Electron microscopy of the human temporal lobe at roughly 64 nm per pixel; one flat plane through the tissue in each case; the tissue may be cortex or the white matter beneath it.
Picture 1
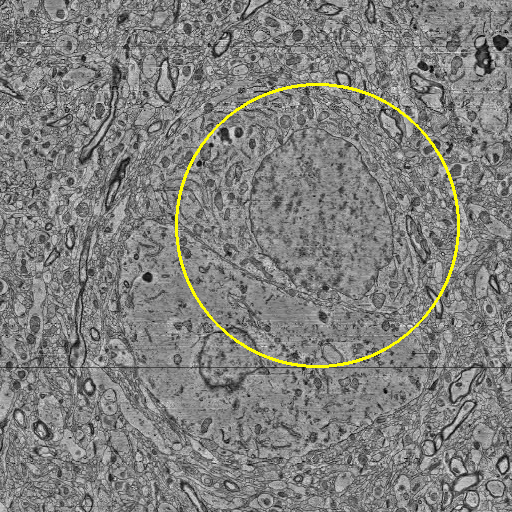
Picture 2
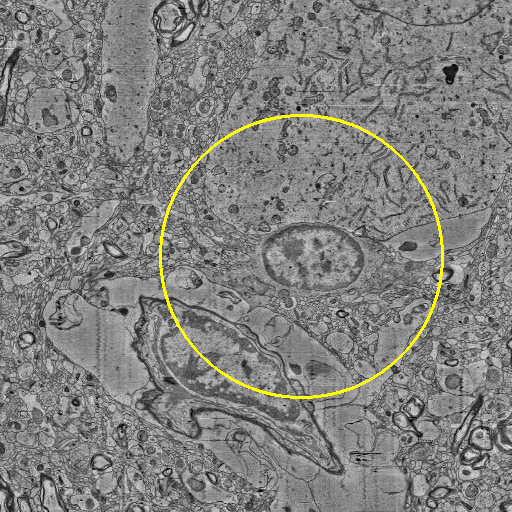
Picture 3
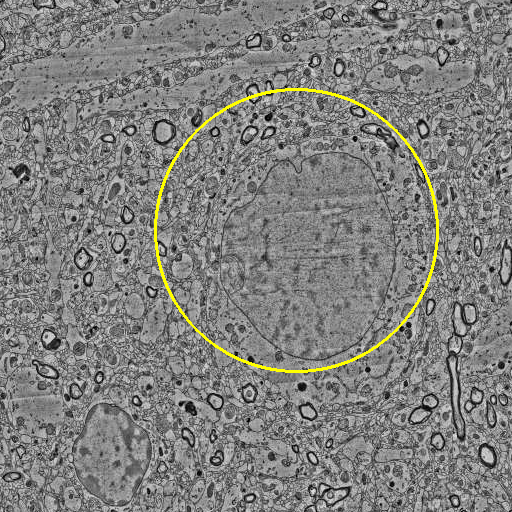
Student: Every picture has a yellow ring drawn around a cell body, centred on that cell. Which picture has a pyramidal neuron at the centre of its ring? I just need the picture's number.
3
